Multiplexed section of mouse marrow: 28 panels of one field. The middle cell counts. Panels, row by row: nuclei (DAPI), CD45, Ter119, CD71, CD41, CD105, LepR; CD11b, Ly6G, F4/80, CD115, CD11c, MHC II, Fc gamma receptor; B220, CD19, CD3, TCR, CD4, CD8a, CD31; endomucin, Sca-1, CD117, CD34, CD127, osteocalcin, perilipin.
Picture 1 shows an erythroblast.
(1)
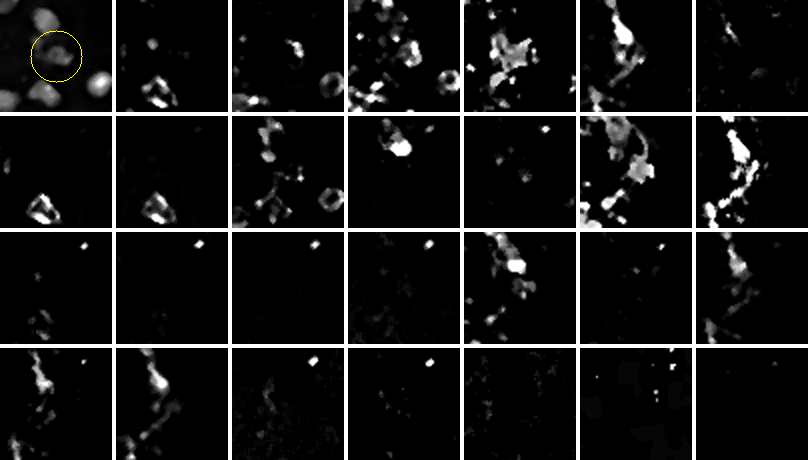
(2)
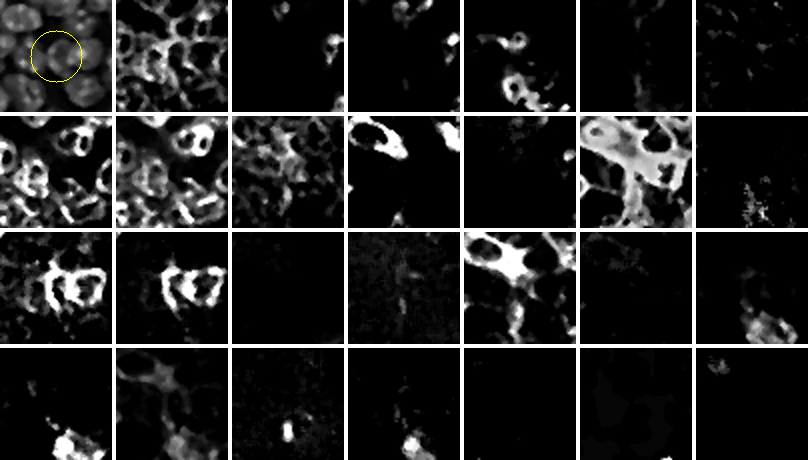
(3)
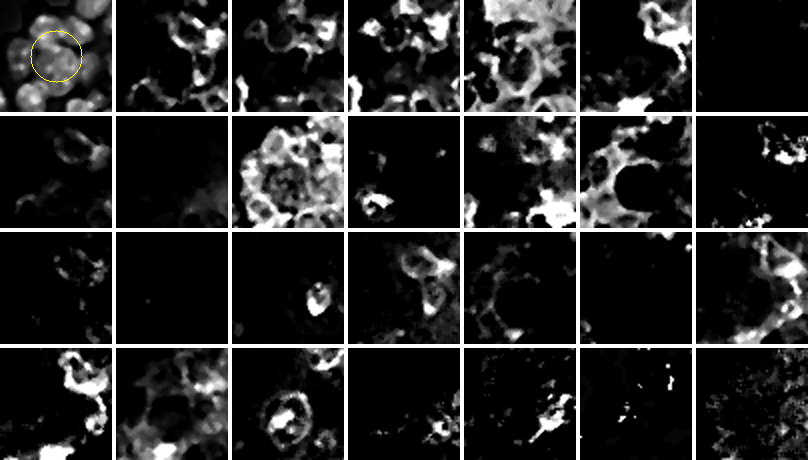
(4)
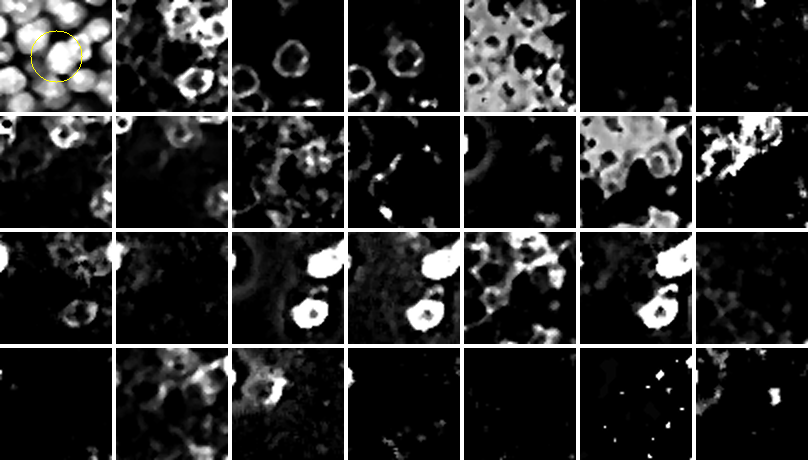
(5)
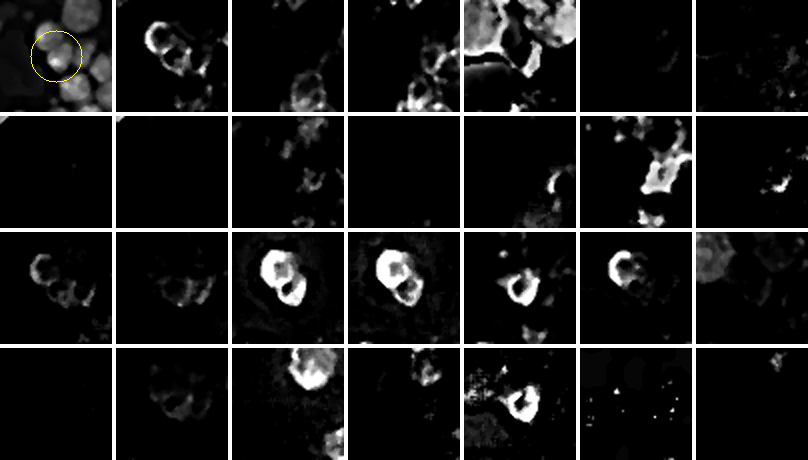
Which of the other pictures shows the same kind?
Picture 4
